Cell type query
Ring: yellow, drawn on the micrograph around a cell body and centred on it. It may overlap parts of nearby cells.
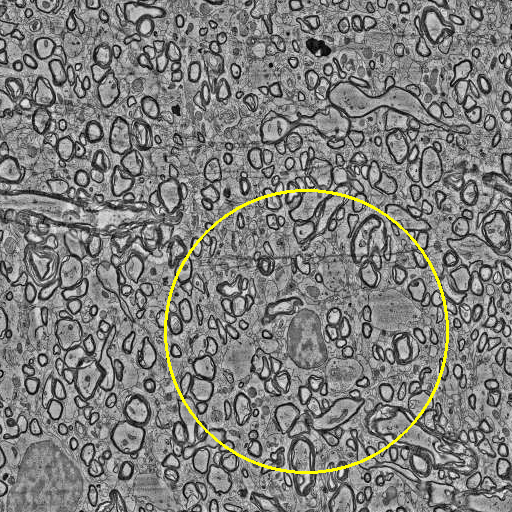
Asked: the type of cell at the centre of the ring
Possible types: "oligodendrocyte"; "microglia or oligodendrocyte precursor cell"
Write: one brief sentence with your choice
The ring marks a microglial cell or oligodendrocyte precursor cell.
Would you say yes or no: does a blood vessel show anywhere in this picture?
No, there is no blood vessel in the image.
